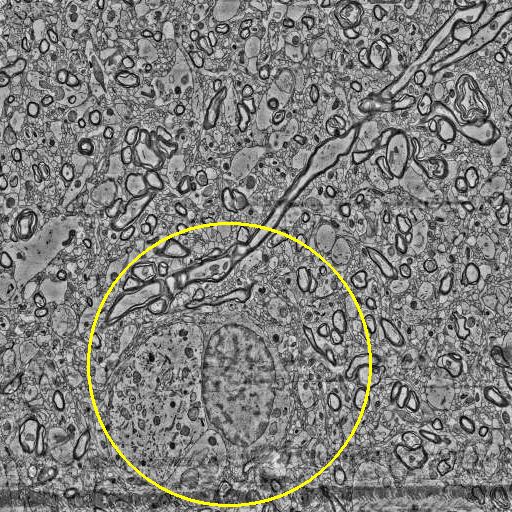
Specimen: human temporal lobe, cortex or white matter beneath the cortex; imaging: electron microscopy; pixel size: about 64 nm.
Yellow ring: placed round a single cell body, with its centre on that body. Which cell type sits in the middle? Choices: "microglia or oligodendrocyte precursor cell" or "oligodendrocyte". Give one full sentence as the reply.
It is an oligodendrocyte whose cell body sits at the centre of the yellow ring.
